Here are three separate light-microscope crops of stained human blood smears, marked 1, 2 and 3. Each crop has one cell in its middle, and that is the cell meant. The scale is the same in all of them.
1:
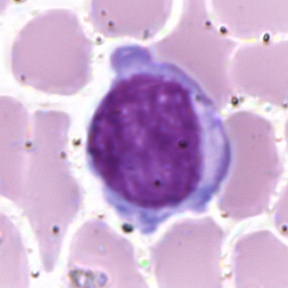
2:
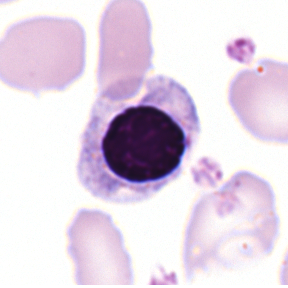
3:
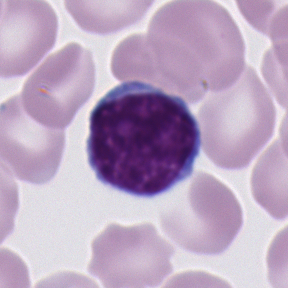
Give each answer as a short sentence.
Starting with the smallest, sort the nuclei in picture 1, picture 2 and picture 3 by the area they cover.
Smallest first: 2, 3, 1.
